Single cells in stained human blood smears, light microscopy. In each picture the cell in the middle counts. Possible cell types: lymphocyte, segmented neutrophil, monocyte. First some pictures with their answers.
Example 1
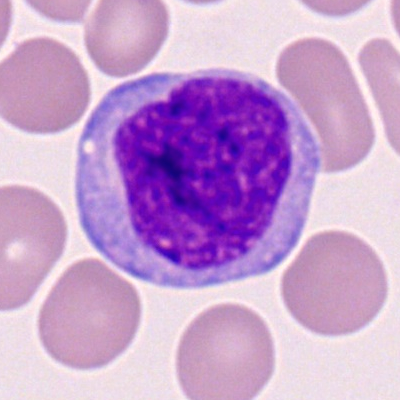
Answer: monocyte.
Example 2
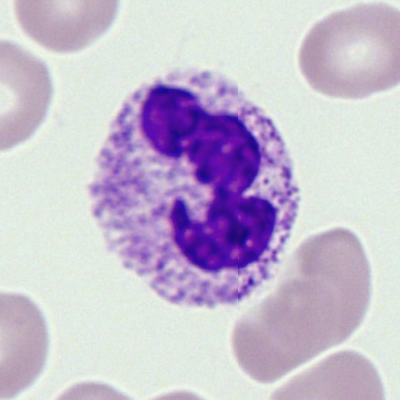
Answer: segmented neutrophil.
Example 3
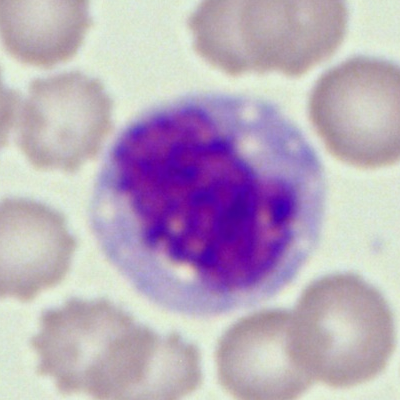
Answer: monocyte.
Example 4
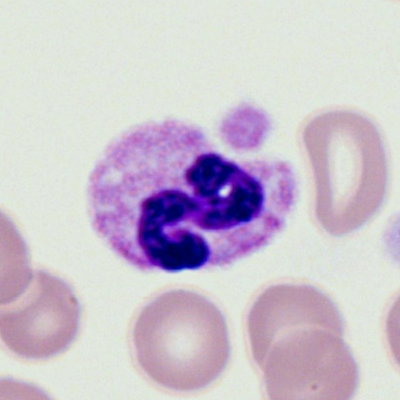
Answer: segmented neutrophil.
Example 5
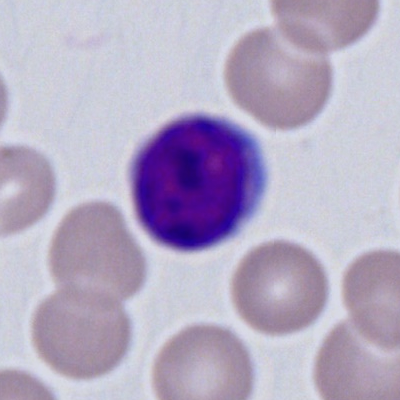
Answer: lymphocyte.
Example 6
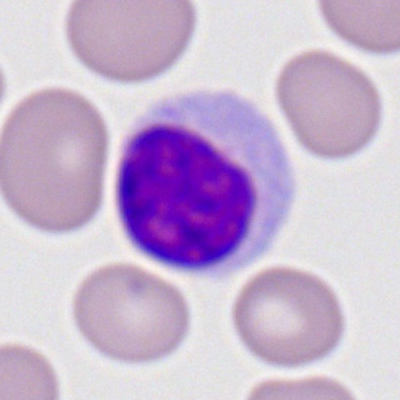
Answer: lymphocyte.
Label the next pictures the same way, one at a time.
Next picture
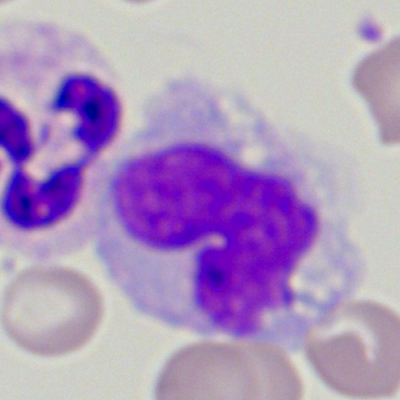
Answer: monocyte.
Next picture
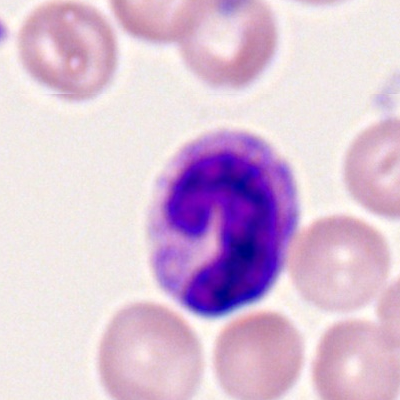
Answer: segmented neutrophil.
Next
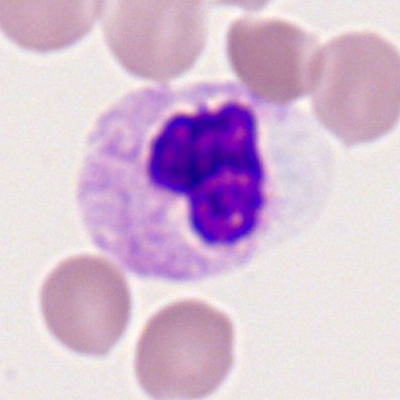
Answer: segmented neutrophil.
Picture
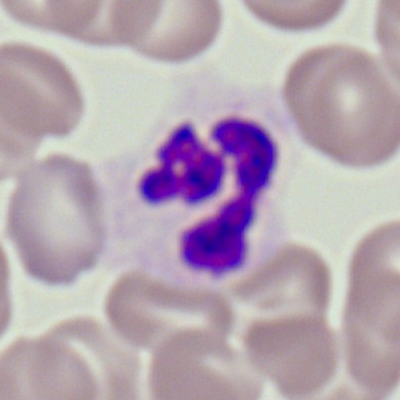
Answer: segmented neutrophil.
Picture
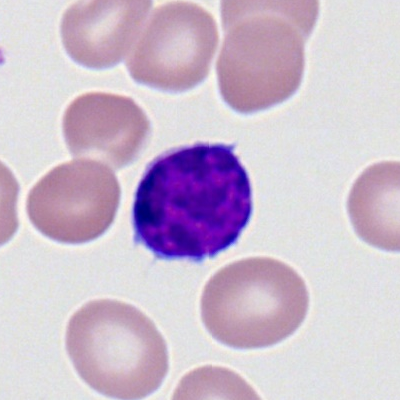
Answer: lymphocyte.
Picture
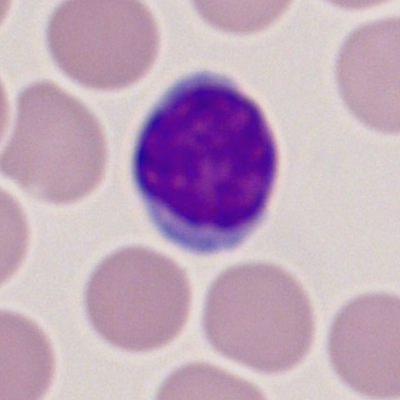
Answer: lymphocyte.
